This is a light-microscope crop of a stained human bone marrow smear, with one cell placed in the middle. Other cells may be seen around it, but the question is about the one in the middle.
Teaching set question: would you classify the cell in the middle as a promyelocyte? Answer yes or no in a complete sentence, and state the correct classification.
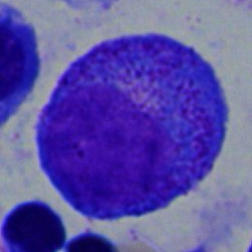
Yes, the cell at the centre is designated a promyelocyte.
